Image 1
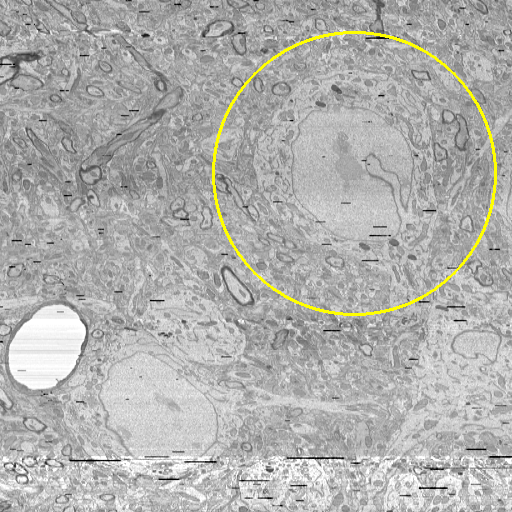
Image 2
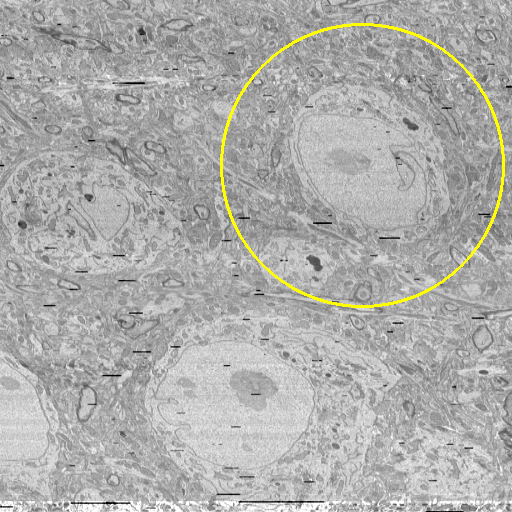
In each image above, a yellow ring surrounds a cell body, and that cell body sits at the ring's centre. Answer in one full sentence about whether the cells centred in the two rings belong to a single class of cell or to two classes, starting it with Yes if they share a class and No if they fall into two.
Yes, the cells centred in the two yellow rings belong to a single class of cell.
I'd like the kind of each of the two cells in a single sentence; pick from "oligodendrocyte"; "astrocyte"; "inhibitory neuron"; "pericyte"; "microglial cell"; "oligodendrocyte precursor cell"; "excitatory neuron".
Both the first and the second picture show an inhibitory neuron in the ring.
